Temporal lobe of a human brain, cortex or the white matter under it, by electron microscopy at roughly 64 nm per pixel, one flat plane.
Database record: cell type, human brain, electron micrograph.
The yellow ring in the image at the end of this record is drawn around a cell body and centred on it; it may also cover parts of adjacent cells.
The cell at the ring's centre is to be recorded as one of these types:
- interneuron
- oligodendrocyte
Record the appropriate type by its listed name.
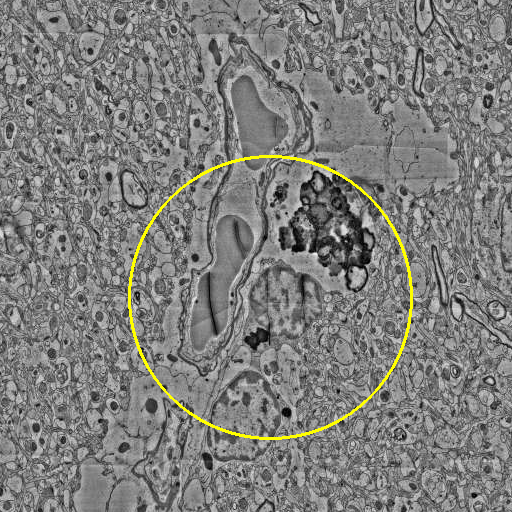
oligodendrocyte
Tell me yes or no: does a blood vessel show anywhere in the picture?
Yes, a blood vessel is present in this picture.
